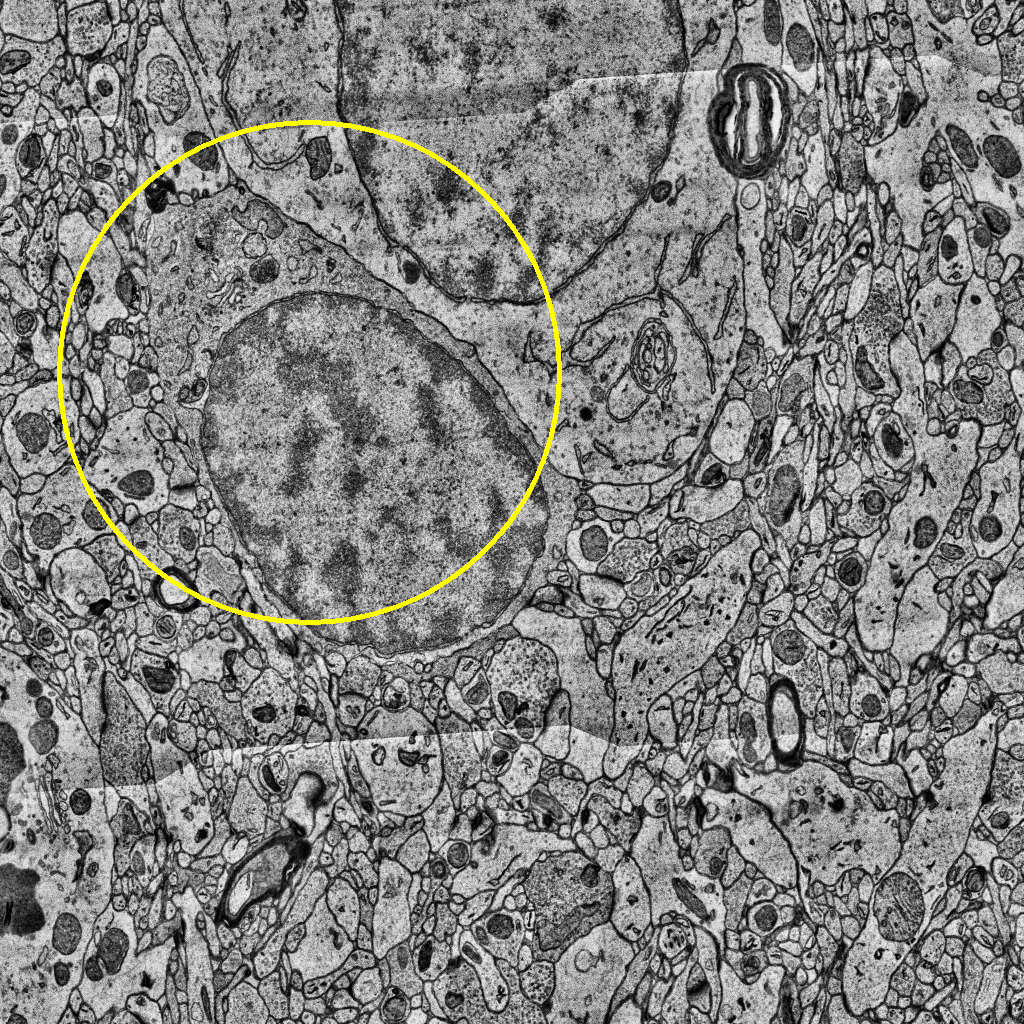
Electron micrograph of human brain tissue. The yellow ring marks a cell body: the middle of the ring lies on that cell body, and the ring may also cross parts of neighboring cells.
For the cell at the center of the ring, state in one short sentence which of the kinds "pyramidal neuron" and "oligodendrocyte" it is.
This ring's center lies on an oligodendrocyte.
